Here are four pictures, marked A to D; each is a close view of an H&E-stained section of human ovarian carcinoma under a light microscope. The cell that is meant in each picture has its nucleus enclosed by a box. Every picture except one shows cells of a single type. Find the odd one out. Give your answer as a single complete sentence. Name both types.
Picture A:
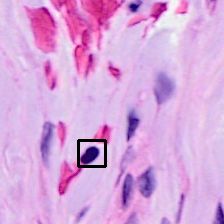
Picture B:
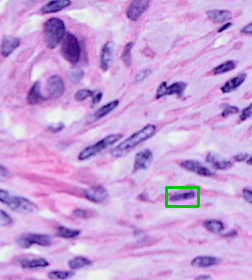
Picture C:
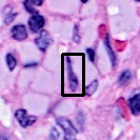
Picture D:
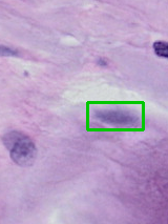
The others show fibroblasts, but picture A shows a lymphocyte.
